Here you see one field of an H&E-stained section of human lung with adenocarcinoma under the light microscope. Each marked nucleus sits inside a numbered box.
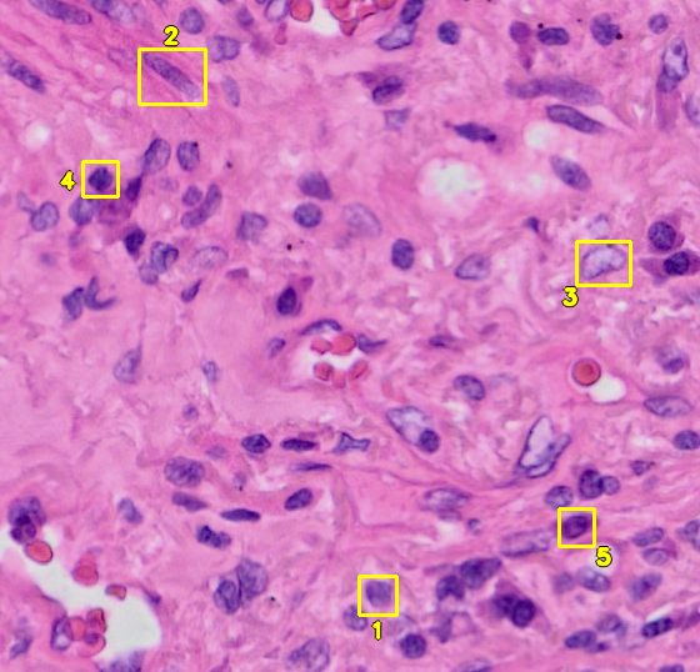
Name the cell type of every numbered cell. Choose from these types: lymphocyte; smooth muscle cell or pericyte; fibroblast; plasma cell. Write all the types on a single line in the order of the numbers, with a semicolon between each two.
lymphocyte; smooth muscle cell or pericyte; fibroblast; lymphocyte; plasma cell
